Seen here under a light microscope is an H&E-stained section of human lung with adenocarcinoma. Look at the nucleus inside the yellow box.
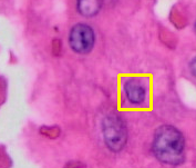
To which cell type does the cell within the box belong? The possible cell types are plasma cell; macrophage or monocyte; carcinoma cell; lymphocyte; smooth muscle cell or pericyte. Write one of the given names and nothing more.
macrophage or monocyte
